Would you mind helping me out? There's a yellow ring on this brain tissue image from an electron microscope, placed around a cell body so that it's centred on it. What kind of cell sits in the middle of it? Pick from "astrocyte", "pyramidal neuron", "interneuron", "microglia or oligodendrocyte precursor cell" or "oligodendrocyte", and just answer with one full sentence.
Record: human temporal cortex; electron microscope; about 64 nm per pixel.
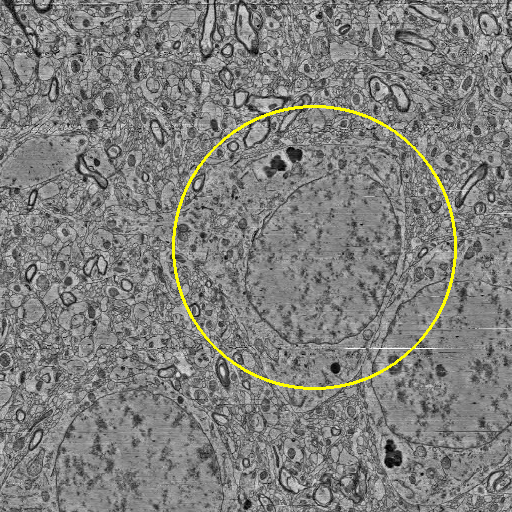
What sits in the middle of that yellow ring is a pyramidal neuron, from your choices.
